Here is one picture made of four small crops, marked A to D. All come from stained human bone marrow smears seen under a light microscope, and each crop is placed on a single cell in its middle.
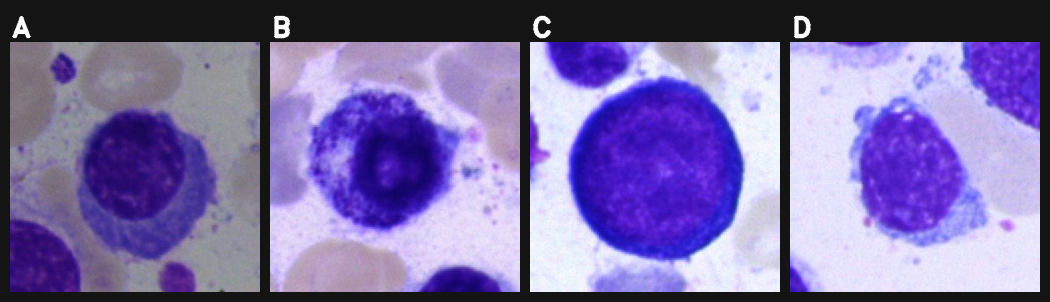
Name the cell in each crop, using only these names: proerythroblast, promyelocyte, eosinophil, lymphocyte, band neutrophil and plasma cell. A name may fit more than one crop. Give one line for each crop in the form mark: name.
A: plasma cell
B: promyelocyte
C: proerythroblast
D: lymphocyte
